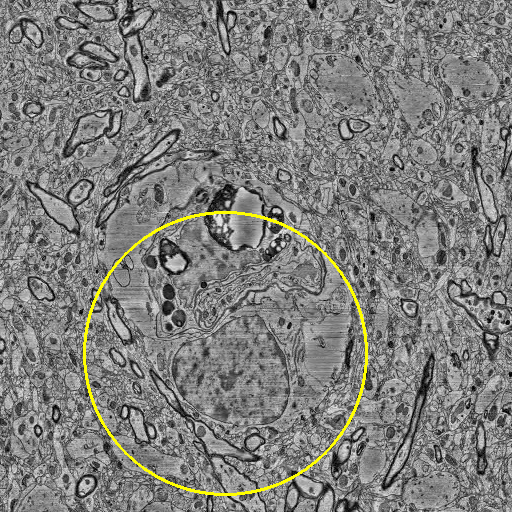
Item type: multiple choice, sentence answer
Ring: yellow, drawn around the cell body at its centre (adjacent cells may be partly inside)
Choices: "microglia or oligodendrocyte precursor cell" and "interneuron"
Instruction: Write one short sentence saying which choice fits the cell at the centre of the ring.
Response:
This ring is drawn around a microglial cell or oligodendrocyte precursor cell.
